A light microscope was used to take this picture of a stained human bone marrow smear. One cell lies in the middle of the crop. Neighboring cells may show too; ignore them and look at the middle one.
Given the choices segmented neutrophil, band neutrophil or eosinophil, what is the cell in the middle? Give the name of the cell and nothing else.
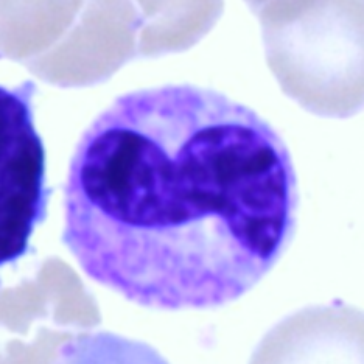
band neutrophil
